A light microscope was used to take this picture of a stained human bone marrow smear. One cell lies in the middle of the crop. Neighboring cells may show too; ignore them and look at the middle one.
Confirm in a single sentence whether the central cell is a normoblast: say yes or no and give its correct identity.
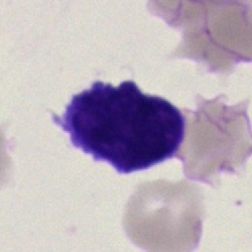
No, the central cell in this crop is a blast and not a normoblast.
